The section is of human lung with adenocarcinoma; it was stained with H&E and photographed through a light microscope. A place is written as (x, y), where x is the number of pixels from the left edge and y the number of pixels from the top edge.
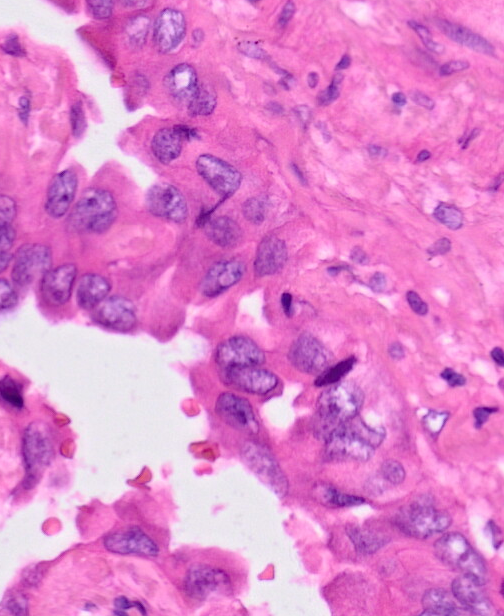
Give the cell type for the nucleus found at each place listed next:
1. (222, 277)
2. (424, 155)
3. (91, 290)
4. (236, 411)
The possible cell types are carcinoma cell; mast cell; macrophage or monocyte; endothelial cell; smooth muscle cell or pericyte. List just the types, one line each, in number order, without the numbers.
carcinoma cell
smooth muscle cell or pericyte
carcinoma cell
carcinoma cell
